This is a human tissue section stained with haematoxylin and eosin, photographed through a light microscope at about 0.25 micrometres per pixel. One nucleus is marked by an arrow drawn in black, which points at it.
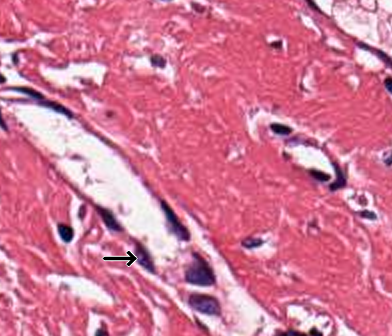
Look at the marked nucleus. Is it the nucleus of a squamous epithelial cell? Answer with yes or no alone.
no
